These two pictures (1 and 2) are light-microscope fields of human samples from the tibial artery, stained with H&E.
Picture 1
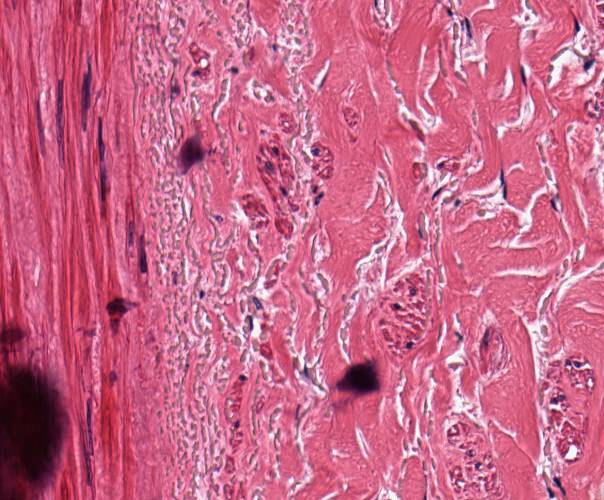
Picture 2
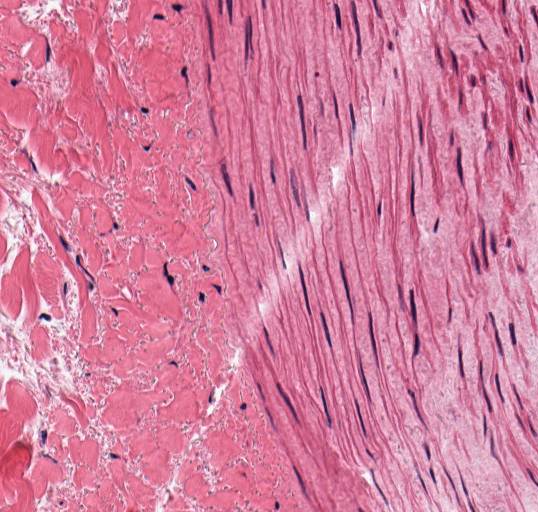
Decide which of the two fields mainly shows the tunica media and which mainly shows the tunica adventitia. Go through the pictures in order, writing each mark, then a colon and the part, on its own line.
1: tunica adventitia
2: tunica media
